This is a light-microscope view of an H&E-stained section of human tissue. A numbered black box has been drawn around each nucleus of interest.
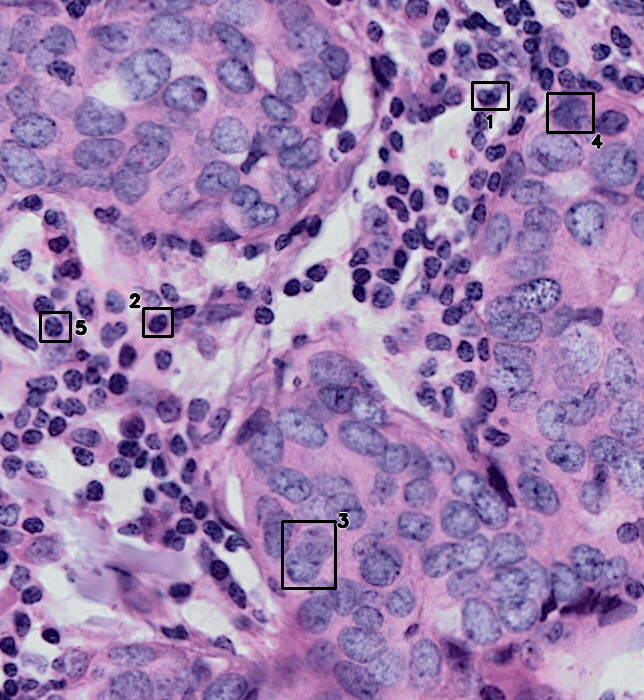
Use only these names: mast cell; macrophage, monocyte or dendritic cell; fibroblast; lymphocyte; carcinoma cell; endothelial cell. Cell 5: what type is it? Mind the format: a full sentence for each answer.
In the marked set, the cell given number 5 is a lymphocyte.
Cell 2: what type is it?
As for number 2, that cell is a lymphocyte.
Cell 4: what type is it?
Numbered cell 4 is a carcinoma cell in this tissue section.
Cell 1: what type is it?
Classified as a lymphocyte is the cell with the number 1.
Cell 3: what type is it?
The cell identified by number 3 is a carcinoma cell.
